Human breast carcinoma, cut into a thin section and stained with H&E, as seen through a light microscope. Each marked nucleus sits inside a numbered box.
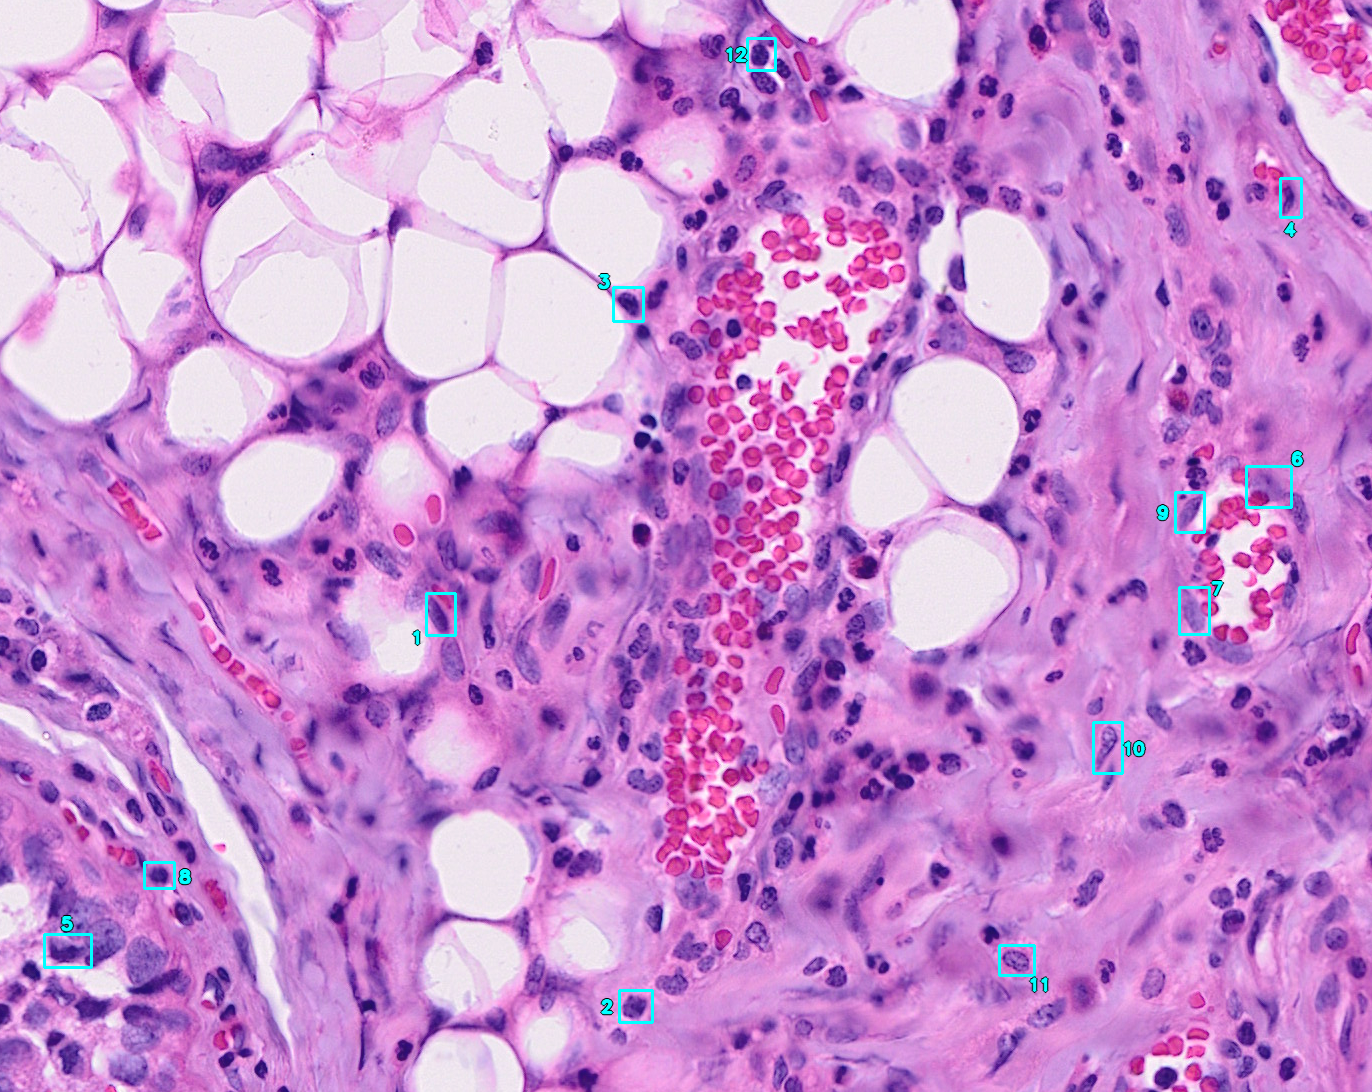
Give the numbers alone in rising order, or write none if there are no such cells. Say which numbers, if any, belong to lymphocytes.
2, 3, 12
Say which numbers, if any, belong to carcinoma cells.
5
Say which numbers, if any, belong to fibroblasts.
10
